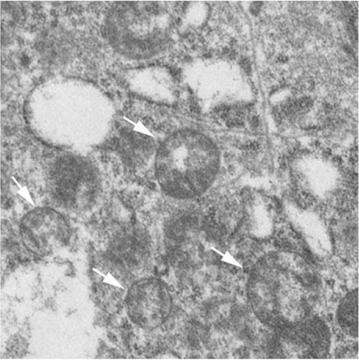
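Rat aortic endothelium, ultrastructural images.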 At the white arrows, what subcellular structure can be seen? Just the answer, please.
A: Autophagic vacuoles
